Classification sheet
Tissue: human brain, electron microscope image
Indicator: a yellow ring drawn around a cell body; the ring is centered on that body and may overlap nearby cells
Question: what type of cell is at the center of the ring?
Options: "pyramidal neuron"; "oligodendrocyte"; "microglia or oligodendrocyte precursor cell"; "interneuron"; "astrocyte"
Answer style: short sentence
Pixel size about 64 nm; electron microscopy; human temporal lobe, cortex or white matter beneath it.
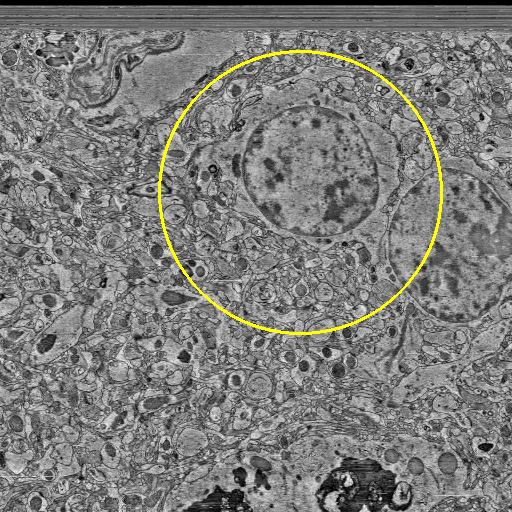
At the ring's center is an astrocyte.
